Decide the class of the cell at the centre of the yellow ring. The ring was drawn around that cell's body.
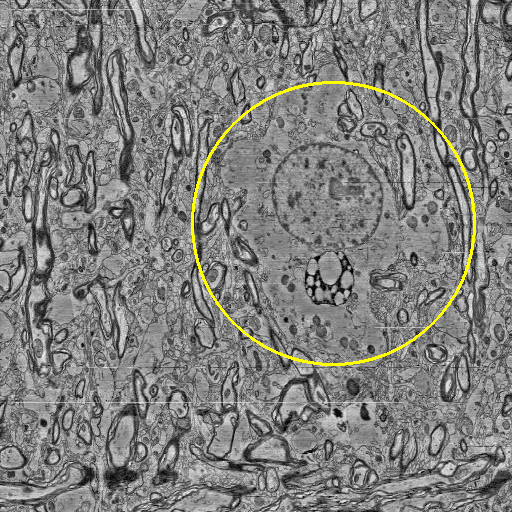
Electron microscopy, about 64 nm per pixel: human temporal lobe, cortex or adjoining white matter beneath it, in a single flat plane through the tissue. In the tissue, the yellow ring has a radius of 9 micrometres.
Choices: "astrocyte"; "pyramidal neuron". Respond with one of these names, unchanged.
astrocyte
